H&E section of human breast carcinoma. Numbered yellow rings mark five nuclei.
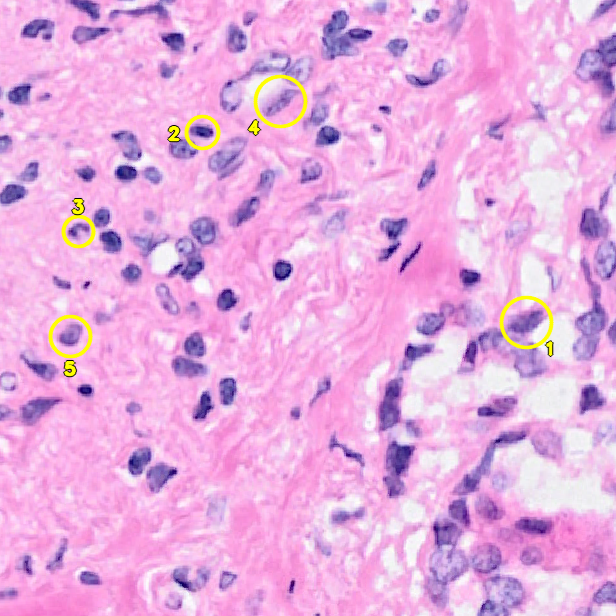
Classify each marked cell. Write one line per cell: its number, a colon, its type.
1: carcinoma cell
2: lymphocyte
3: lymphocyte
4: endothelial cell
5: lymphocyte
